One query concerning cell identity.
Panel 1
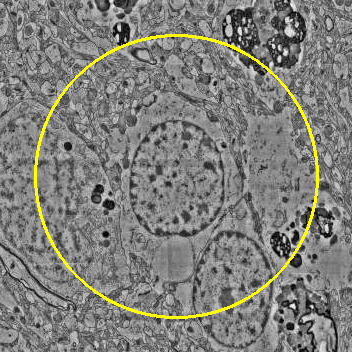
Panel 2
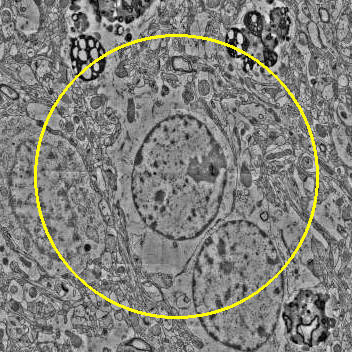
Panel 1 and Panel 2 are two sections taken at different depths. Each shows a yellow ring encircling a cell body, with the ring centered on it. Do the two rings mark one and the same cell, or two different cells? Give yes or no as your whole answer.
yes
